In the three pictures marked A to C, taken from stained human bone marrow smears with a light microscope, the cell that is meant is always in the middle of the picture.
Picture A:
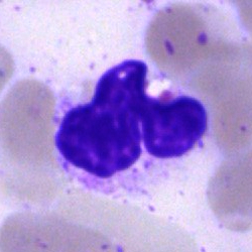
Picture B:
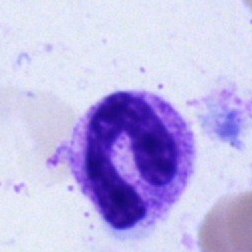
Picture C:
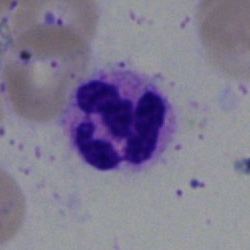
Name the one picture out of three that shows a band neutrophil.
B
